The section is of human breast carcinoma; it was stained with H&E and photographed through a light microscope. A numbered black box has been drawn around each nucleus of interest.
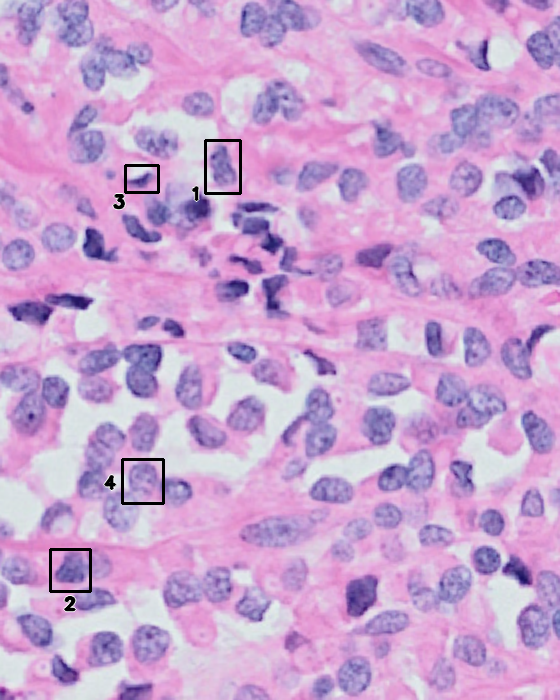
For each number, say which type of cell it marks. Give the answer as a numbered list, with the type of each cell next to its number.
1. carcinoma cell
2. carcinoma cell
3. endothelial cell
4. carcinoma cell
